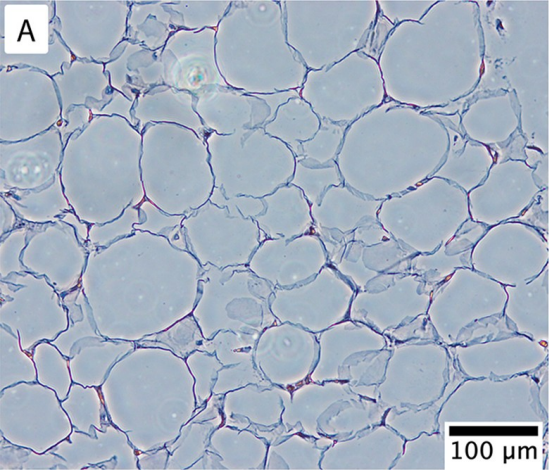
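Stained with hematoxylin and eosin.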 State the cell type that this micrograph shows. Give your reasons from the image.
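Large rounded to polygonal cells, each filled by one large clear space. Cells are separated only by thin membranous rims. Few small dark nuclei are squeezed at the cell edges.
Answer: white adipocytes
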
